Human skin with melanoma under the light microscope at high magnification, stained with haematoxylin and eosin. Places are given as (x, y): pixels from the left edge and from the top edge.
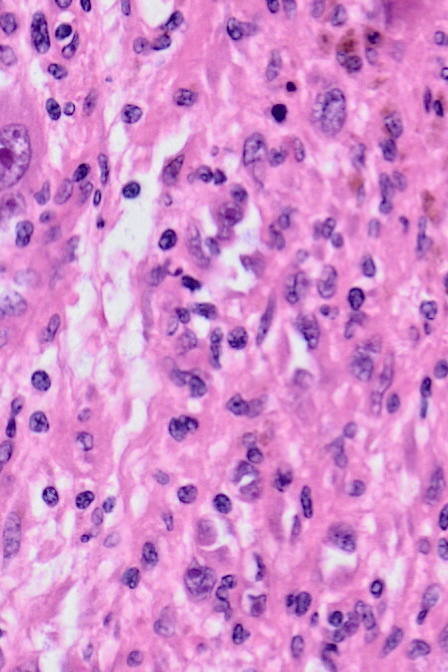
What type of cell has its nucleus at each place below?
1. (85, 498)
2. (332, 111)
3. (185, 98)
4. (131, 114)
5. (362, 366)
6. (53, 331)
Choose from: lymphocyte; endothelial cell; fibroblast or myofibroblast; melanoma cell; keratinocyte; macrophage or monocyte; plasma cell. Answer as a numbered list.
1. lymphocyte
2. melanoma cell
3. macrophage or monocyte
4. lymphocyte
5. melanoma cell
6. macrophage or monocyte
